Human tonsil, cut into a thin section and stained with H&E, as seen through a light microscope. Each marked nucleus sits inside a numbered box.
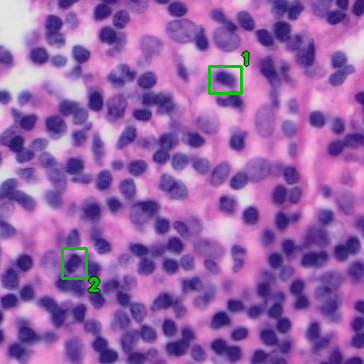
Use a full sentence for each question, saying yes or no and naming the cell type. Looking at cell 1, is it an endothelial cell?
Yes, regarding number 1, the cell is an endothelial cell.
